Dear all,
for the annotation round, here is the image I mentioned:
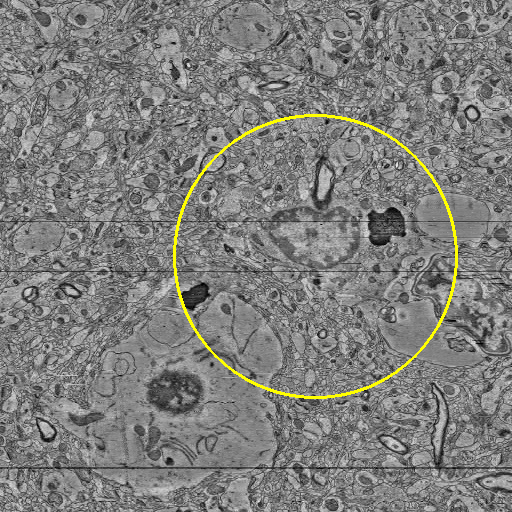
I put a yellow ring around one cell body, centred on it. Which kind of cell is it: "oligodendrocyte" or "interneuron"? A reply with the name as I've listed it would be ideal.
oligodendrocyte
